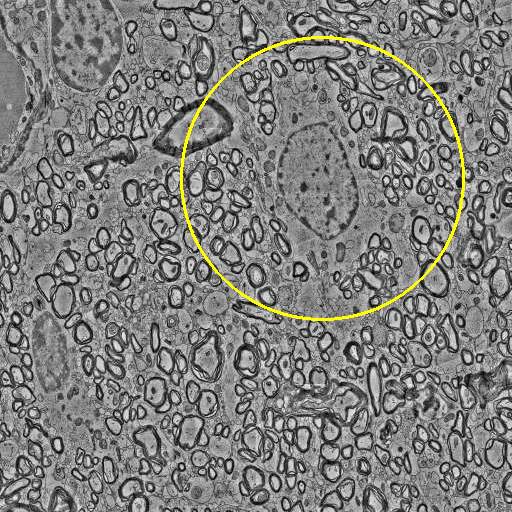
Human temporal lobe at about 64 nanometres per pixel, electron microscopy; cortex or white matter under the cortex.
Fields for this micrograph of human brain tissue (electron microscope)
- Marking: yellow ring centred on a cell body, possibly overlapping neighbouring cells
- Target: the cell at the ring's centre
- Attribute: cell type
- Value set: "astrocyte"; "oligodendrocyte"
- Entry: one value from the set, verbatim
astrocyte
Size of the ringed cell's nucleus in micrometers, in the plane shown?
Approximately 7 x 5 micrometres in this plane.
